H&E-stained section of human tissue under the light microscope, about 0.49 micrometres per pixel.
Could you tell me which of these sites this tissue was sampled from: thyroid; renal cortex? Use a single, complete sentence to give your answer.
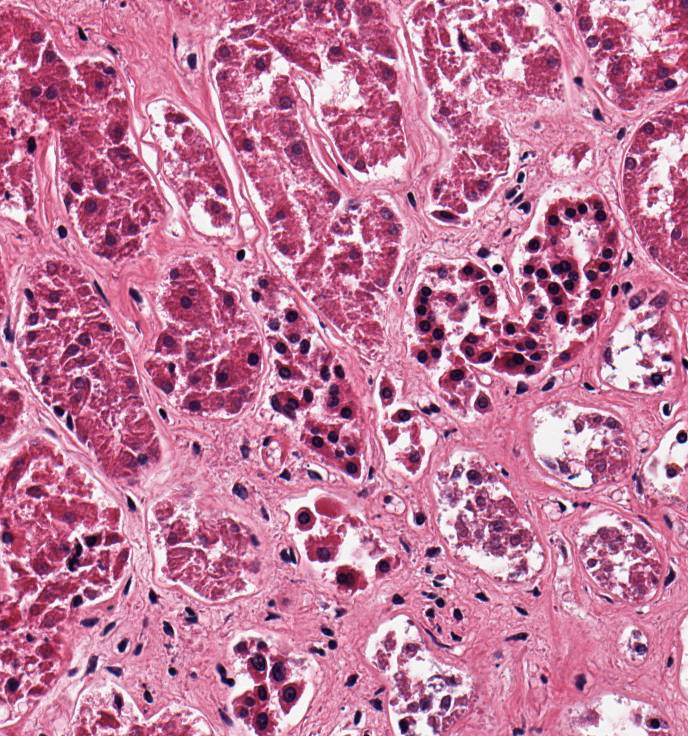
This tissue was sampled from the renal cortex.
